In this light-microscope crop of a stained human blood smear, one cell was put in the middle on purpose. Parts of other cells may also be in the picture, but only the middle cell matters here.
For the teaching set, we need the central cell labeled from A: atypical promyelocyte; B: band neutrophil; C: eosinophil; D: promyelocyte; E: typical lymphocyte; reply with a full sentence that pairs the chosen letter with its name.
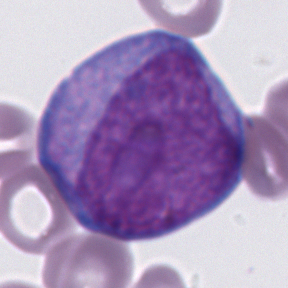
That cell in the center is a promyelocyte, hence option D.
